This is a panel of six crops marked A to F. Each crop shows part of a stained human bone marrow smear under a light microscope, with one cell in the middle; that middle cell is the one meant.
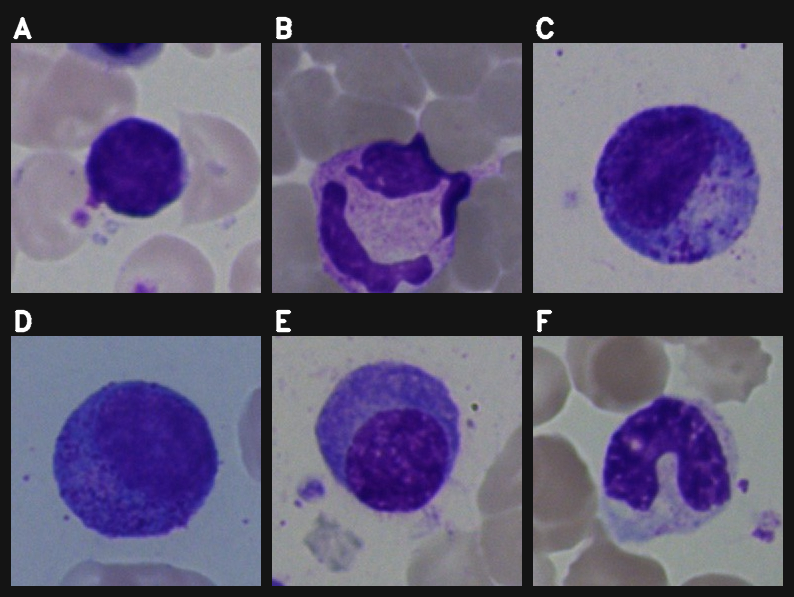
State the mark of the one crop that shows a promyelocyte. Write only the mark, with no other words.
D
